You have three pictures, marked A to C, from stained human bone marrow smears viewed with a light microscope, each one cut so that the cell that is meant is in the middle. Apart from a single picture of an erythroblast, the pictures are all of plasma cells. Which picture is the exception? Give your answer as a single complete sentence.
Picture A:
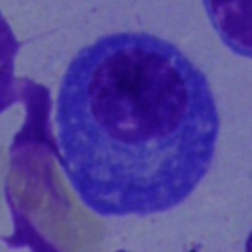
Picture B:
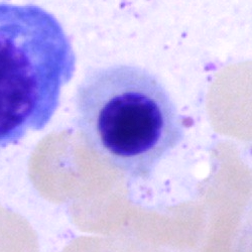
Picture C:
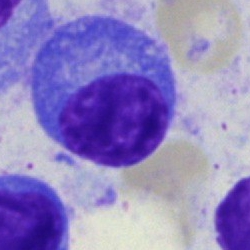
The picture with the erythroblast is B.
